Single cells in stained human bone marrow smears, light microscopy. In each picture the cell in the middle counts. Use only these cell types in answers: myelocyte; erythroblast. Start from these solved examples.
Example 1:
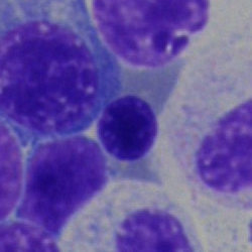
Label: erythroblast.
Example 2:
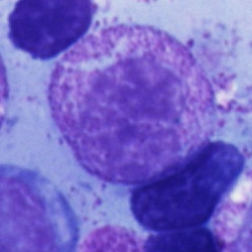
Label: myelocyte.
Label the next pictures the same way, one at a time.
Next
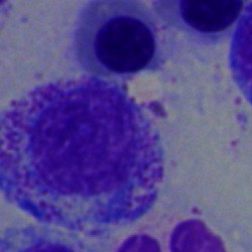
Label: myelocyte.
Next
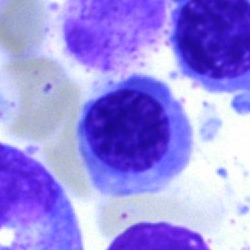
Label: erythroblast.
